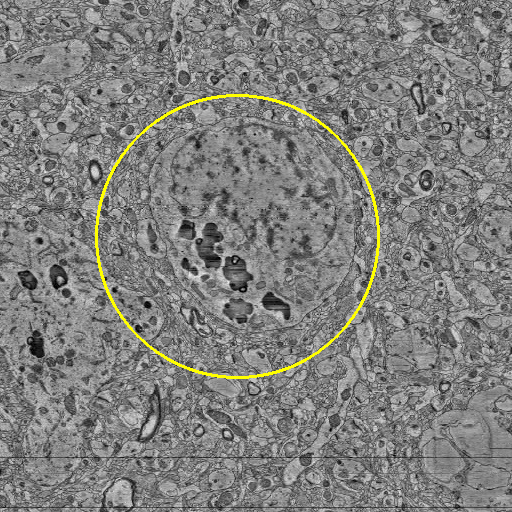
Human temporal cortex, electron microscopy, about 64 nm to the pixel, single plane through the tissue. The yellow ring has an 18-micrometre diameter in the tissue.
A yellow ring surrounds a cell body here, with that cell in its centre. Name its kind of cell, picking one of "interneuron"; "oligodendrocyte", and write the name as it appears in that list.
interneuron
